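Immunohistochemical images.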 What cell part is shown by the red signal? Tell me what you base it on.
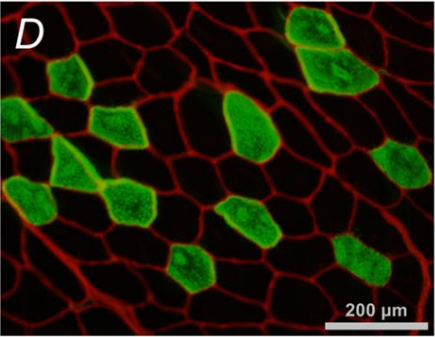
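Thin red rims surround each polygonal profile. Red rims enclose both green-filled and dark profiles.
Conclusion: Muscle fibre membranes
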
